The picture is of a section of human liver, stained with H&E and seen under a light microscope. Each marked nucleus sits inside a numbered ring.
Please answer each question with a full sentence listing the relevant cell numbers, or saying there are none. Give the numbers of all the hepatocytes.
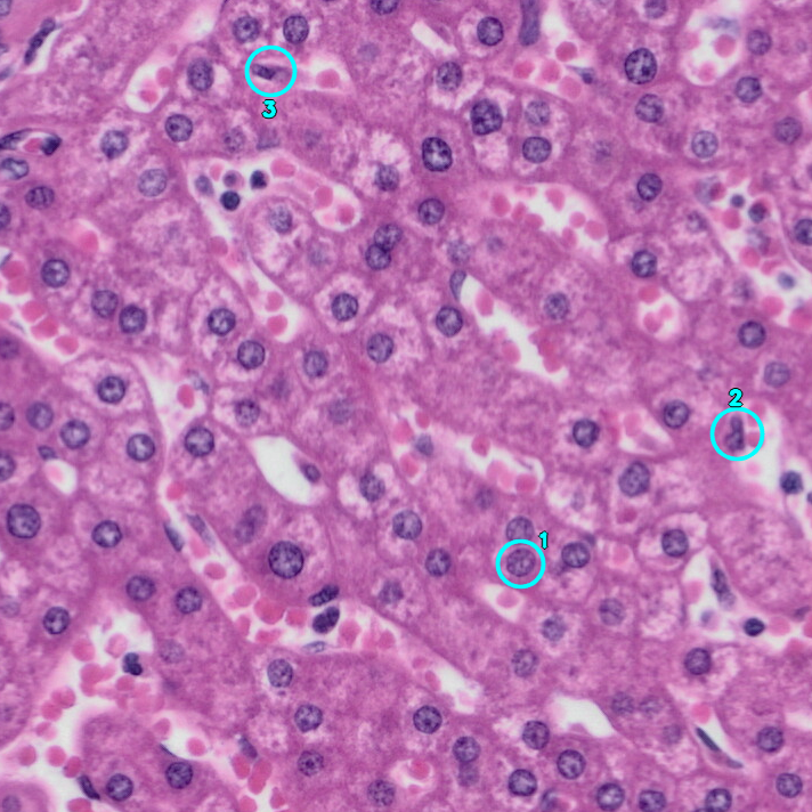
Cell 1, and no other numbered cell, is a hepatocyte.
